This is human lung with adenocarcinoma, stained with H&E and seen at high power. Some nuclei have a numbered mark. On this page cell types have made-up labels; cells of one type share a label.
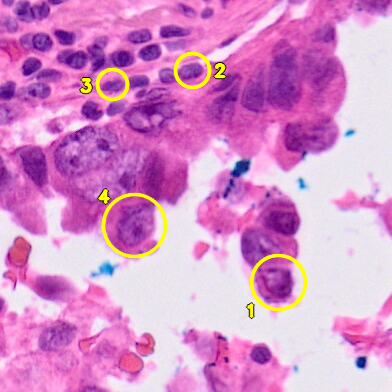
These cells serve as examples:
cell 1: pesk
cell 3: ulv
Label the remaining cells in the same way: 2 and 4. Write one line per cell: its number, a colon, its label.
2: ulv
4: pesk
